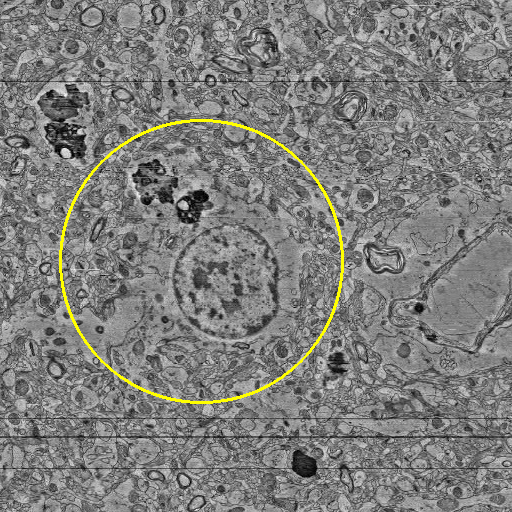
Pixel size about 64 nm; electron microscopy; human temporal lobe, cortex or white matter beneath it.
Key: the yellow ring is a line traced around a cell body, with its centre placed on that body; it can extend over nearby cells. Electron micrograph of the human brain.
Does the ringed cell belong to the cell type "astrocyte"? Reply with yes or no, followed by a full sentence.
Yes, the cell at the centre of the yellow ring in the picture is of that type.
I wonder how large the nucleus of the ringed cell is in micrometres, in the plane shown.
The nucleus of the ringed cell is approximately 7 micrometres across in this plane.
